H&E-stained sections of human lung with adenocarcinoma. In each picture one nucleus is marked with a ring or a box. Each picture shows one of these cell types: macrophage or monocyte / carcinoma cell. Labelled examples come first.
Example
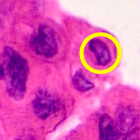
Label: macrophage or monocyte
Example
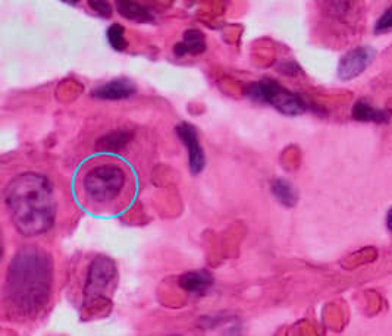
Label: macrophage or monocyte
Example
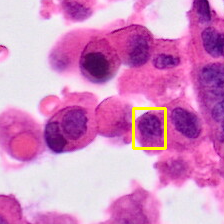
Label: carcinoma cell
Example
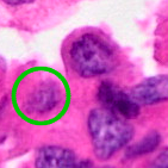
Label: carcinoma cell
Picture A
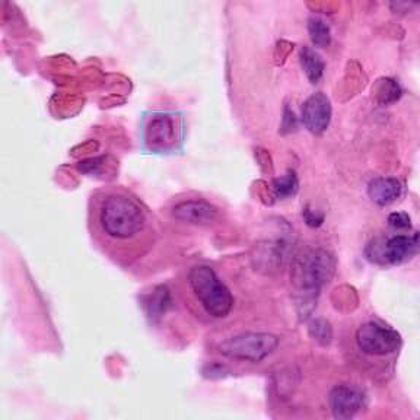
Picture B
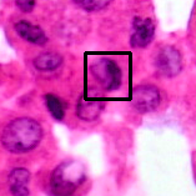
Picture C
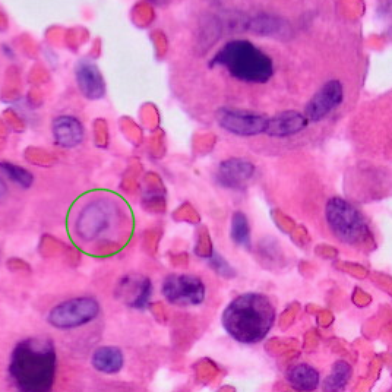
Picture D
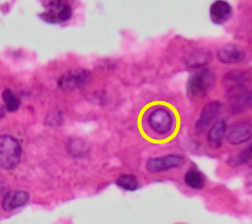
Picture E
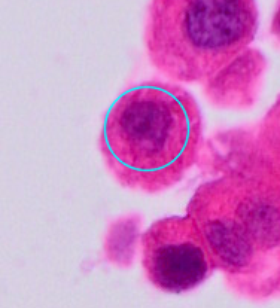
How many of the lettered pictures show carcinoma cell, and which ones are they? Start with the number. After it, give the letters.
1: E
